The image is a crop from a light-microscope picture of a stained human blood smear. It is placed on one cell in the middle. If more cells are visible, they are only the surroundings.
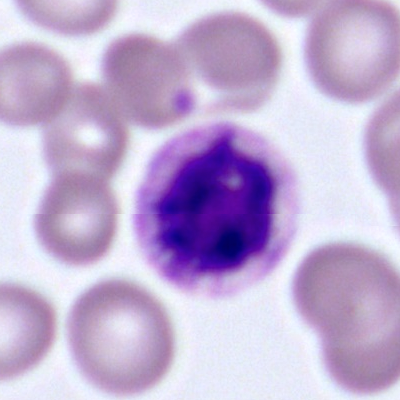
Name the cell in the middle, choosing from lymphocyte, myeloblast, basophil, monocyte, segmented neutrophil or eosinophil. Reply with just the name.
basophil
